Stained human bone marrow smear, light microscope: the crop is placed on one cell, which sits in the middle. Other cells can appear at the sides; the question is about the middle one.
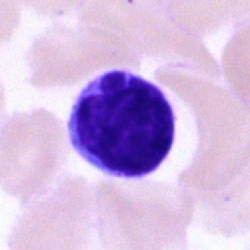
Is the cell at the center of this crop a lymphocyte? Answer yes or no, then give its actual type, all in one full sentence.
Yes, as for the central cell, it is a lymphocyte.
